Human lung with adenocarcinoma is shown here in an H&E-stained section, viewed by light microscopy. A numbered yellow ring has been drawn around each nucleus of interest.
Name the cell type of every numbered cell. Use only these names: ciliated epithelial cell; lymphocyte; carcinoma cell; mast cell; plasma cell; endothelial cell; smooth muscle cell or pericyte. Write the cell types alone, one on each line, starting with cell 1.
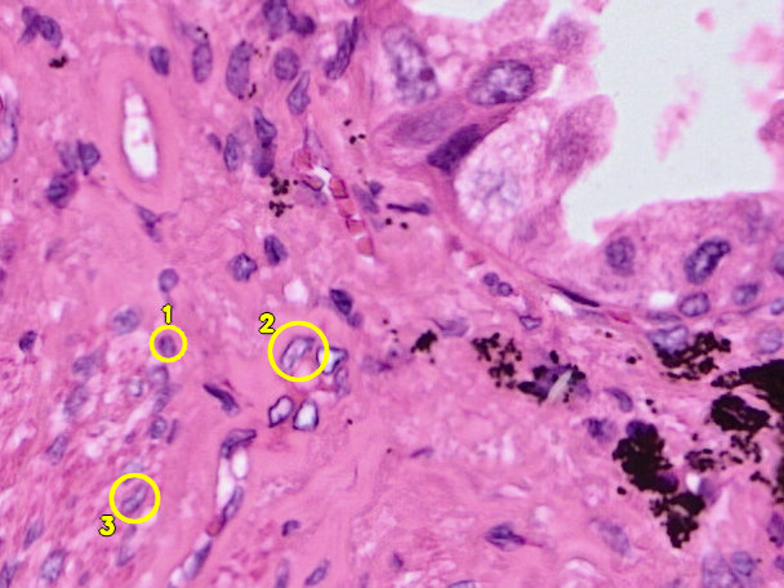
mast cell
endothelial cell
smooth muscle cell or pericyte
